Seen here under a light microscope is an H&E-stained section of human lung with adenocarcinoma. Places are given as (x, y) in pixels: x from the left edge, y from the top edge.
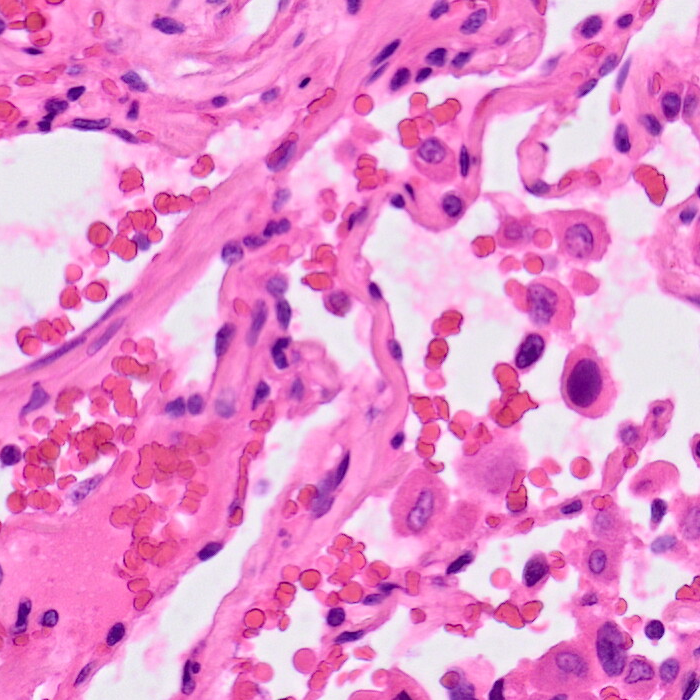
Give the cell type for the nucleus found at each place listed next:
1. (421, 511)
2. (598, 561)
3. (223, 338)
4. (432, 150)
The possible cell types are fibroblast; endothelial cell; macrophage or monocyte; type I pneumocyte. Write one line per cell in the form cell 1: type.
cell 1: macrophage or monocyte
cell 2: macrophage or monocyte
cell 3: type I pneumocyte
cell 4: macrophage or monocyte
